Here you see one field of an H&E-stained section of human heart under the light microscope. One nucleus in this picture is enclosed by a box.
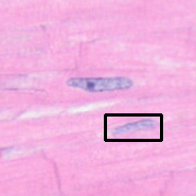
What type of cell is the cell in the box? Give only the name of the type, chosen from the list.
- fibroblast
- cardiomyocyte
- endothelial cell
cardiomyocyte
